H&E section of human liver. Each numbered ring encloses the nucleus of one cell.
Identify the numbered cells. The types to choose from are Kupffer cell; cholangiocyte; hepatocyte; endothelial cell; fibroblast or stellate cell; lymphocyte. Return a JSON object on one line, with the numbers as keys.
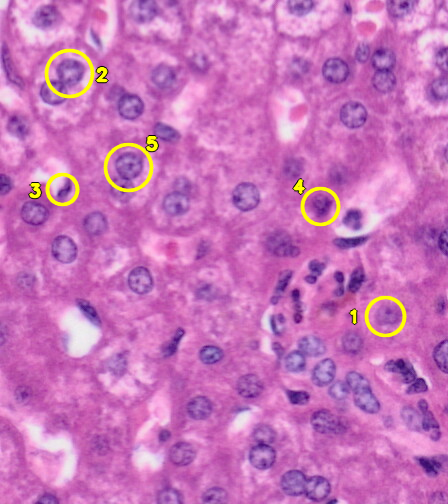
{"1": "hepatocyte", "2": "hepatocyte", "3": "endothelial cell", "4": "fibroblast or stellate cell", "5": "hepatocyte"}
